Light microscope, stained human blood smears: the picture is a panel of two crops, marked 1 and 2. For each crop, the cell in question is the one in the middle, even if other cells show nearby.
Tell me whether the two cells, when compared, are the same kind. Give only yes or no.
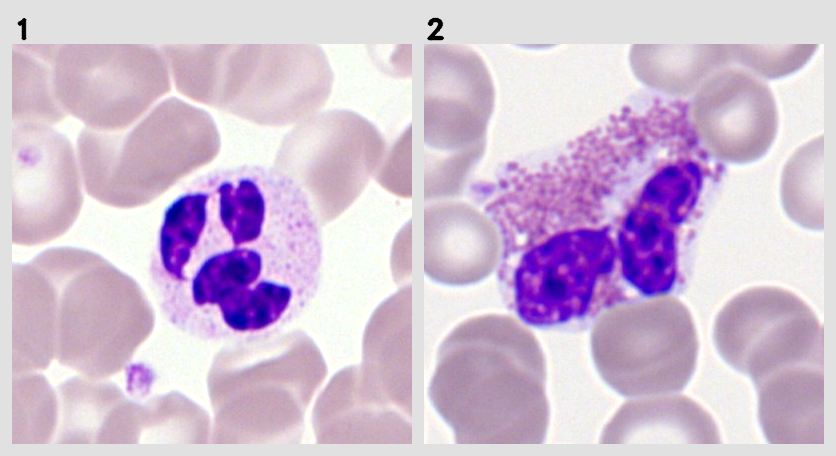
no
